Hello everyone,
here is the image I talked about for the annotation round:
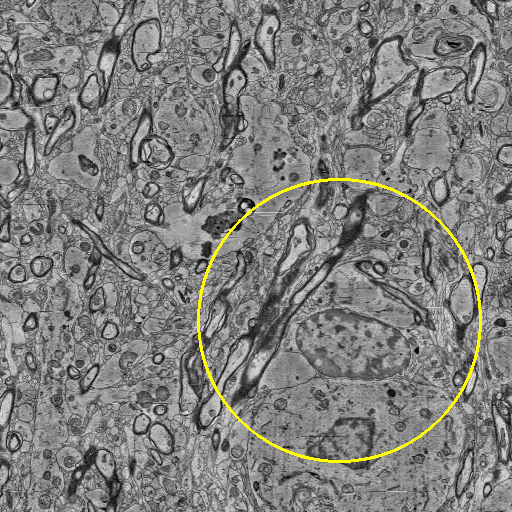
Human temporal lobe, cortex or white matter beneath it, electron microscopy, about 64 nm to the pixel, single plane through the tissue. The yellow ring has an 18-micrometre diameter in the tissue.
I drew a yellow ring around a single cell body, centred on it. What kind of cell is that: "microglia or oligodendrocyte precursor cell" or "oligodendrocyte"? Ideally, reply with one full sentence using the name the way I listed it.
The cell your yellow ring is centred on is a microglial cell or oligodendrocyte precursor cell, going by your list.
